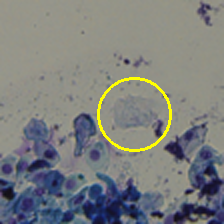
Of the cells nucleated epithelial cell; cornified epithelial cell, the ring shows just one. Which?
The ring shows a cornified epithelial cell.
